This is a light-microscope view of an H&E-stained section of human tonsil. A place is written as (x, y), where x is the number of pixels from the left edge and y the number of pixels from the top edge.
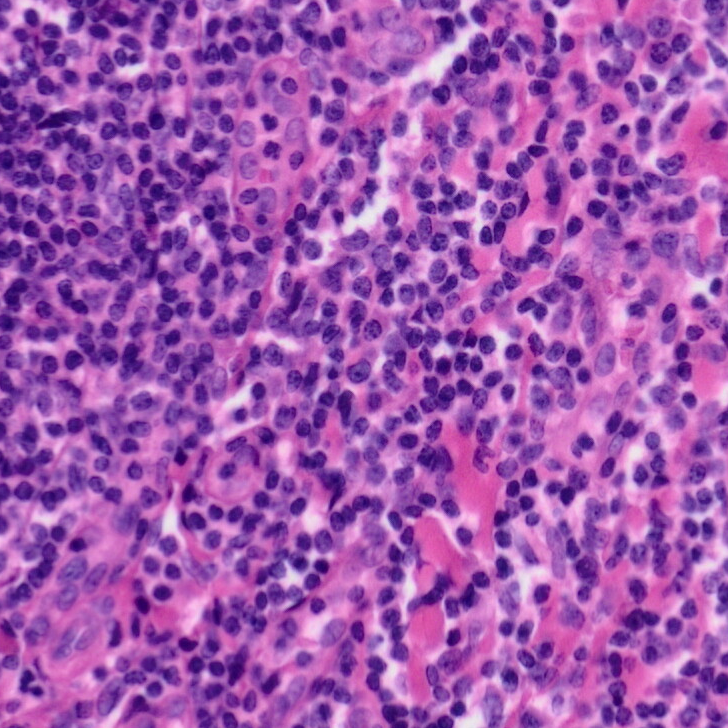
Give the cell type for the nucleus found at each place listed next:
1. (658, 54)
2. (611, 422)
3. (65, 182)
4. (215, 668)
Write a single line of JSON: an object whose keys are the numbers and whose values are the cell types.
{"1": "plasma cell", "2": "endothelial cell", "3": "small lymphocyte", "4": "small lymphocyte"}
